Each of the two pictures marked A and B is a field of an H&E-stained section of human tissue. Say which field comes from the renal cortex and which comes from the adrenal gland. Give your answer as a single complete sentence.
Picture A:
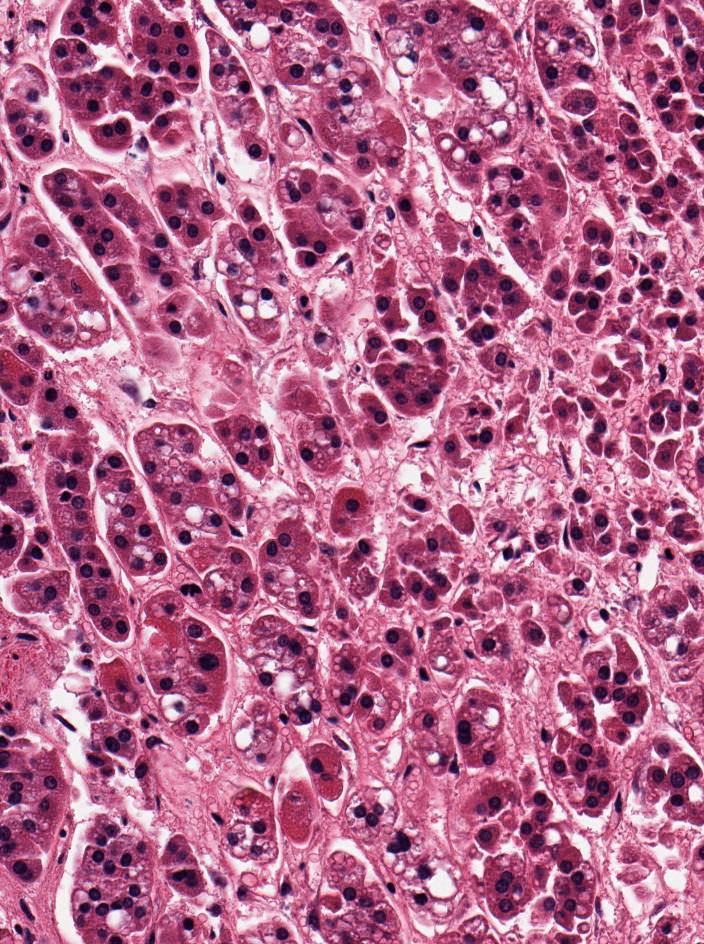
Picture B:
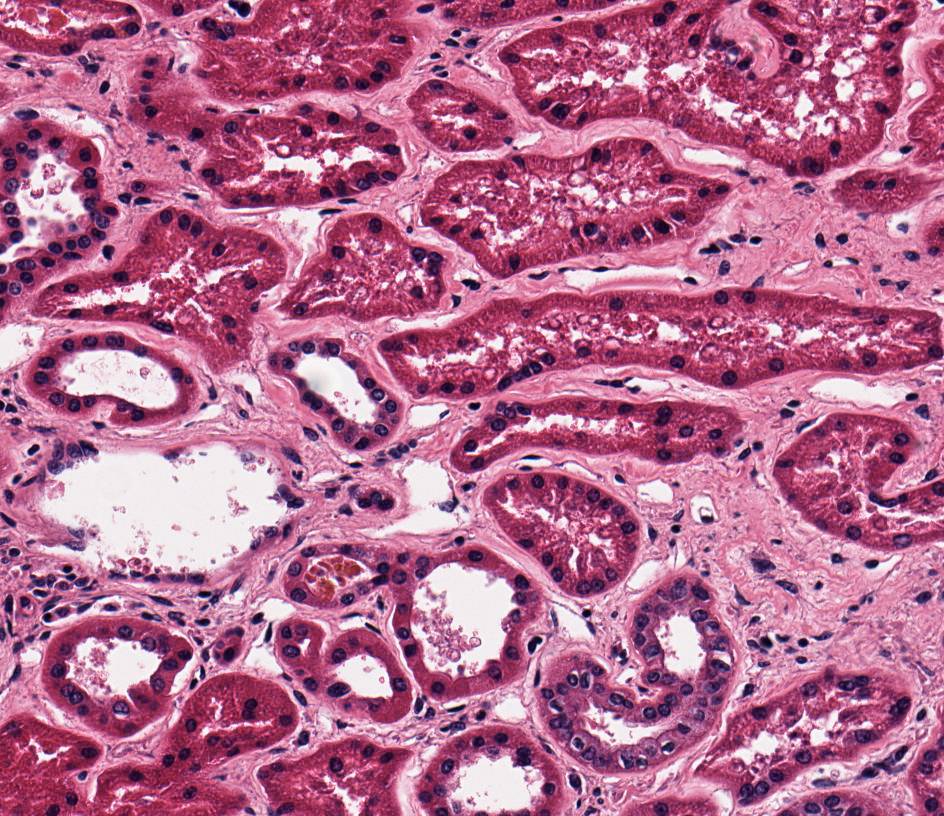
It is picture A that comes from the adrenal gland, and picture B that comes from the renal cortex.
